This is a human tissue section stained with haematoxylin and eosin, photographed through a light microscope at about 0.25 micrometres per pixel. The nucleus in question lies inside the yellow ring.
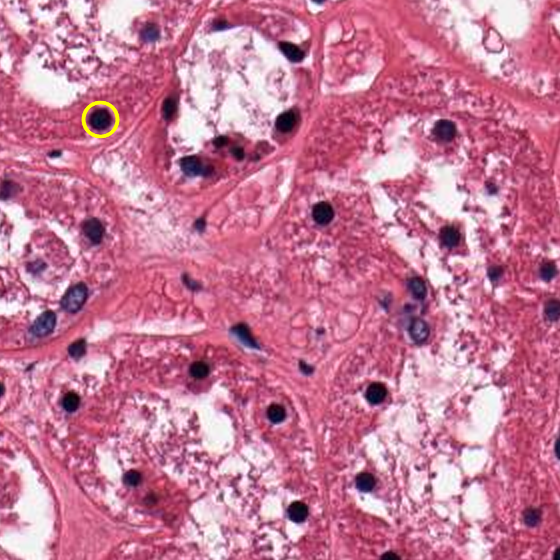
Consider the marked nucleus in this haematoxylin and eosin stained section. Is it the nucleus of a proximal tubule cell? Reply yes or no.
yes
